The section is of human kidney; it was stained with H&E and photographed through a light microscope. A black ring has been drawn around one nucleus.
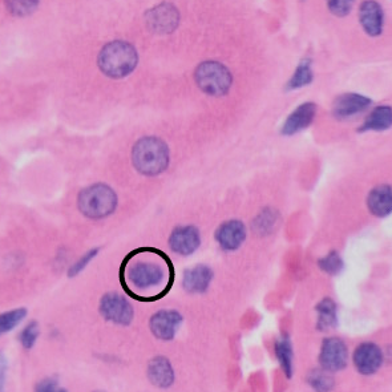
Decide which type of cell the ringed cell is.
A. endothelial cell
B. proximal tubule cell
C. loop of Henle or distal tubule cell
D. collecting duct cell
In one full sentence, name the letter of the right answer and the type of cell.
Option C is accurate, for the ringed cell is a loop of Henle or distal tubule cell.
